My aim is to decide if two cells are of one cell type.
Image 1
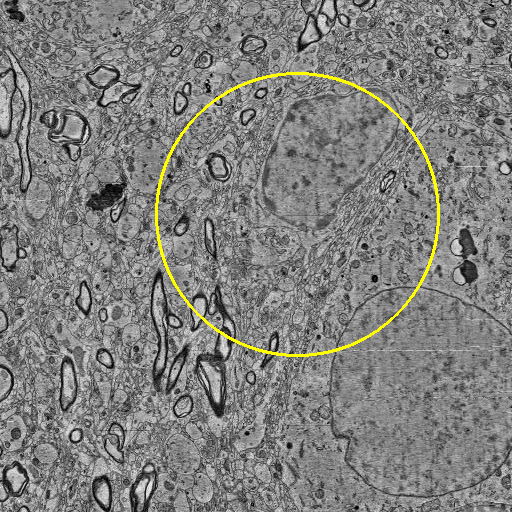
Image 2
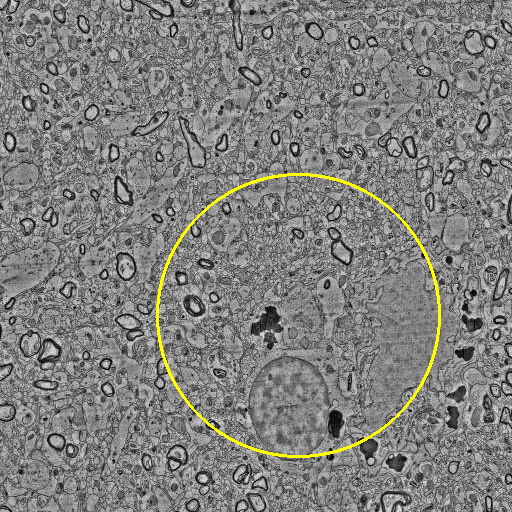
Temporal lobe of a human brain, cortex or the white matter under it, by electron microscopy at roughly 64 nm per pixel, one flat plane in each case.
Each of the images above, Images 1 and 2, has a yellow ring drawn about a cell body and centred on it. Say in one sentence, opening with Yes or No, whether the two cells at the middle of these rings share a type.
No, in Images 1 and 2 the cells at the middle of the rings fall into two types.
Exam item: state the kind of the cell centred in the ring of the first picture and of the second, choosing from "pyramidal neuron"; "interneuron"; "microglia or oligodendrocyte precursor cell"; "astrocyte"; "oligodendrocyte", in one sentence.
The first picture shows a microglial cell or oligodendrocyte precursor cell at the ring centre and the second shows an oligodendrocyte.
